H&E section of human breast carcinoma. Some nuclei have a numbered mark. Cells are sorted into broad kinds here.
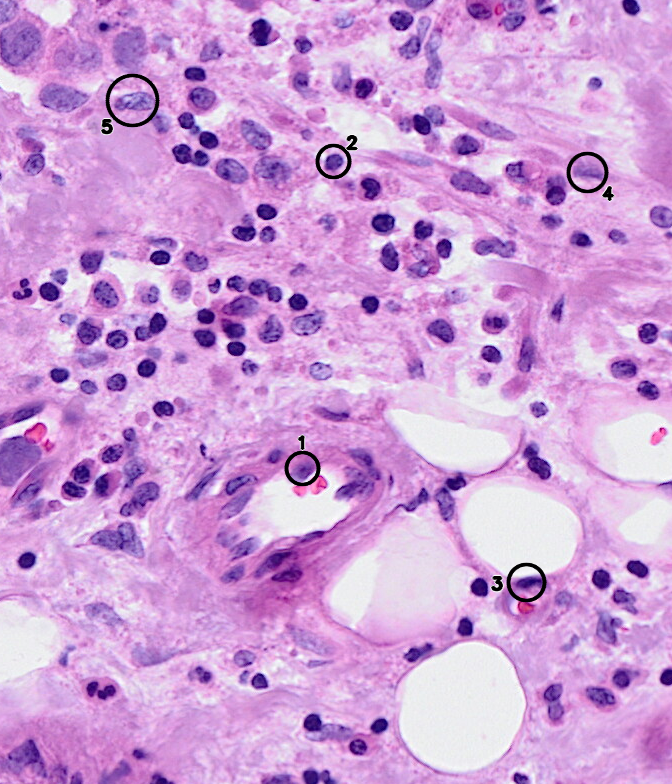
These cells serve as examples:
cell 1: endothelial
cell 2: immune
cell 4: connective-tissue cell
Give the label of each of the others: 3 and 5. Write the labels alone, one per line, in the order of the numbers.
endothelial
immune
